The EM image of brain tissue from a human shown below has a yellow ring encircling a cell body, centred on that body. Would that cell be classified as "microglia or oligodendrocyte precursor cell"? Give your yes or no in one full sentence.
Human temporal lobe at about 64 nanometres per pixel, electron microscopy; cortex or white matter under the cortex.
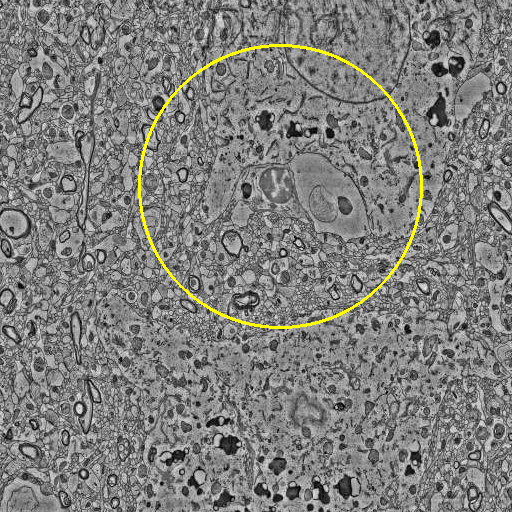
Yes, the cell at the centre of the ring in the picture falls in that class.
